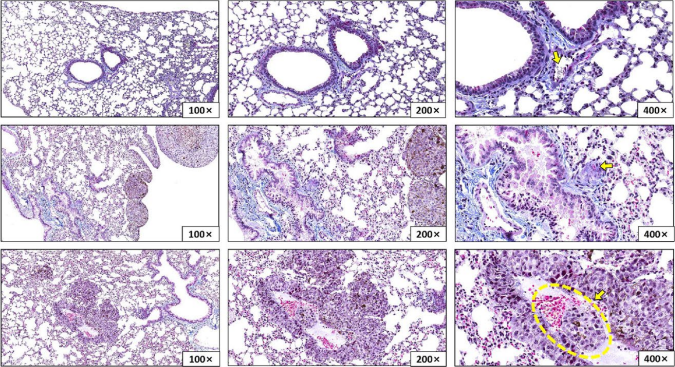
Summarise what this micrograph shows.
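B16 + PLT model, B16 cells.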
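These sections show lung metastases, which appear as dense cellular nodules set within lung tissue. The surrounding lung has open air spaces with thin walls. It also contains airways lined by a purple epithelial layer. The nodules are made of closely packed cells with dark nuclei.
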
